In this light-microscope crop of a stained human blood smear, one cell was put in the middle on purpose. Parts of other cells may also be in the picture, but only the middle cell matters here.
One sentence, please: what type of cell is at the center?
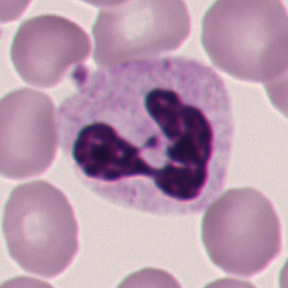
The single cell at the center of the crop is a segmented neutrophil.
